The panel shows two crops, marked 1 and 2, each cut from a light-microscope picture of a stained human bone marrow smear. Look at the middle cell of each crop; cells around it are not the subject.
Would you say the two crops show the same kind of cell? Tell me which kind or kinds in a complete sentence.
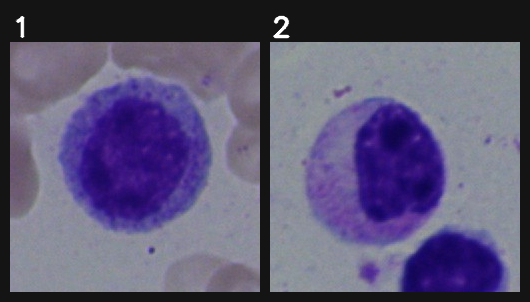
Yes, the two crops show myelocytes at their centres.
